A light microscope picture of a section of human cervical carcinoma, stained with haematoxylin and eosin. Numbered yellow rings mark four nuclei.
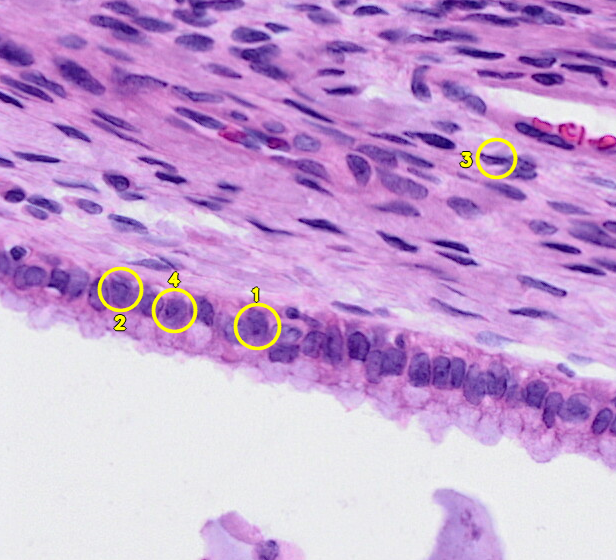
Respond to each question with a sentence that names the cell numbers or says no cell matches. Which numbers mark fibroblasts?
Only the cell numbered 3 is a fibroblast; none of the others is.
